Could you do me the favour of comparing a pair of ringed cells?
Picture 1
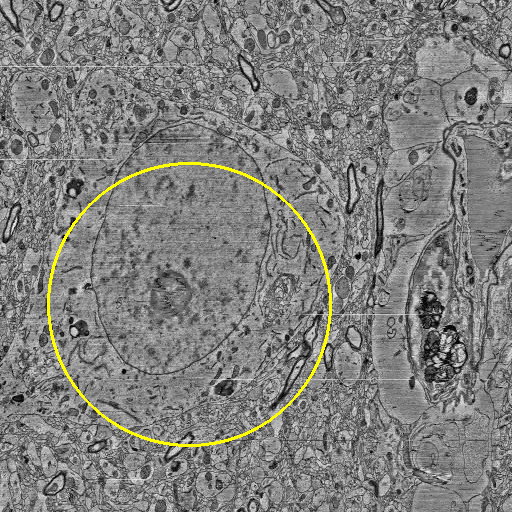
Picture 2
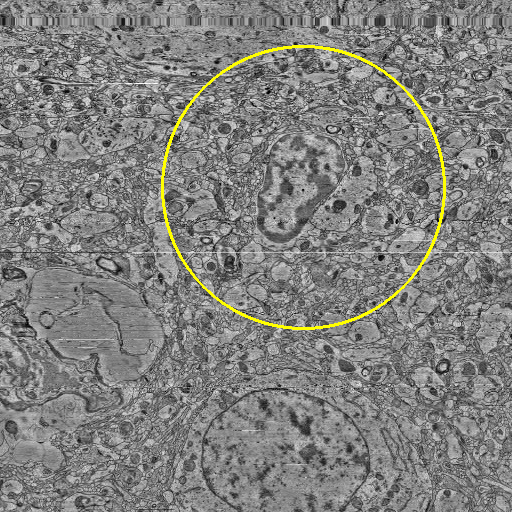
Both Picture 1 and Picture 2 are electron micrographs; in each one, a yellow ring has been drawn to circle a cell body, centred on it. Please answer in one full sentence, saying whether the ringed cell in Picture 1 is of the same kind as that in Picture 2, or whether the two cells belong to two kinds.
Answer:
The ringed cells in Picture 1 and Picture 2 belong to two kinds.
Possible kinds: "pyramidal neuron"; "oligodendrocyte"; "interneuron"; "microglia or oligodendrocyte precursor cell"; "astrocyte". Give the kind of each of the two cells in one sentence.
The cell in the second picture is a microglial cell or oligodendrocyte precursor cell, and that in the first is a pyramidal neuron.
